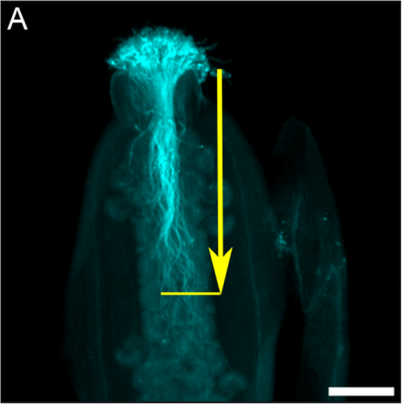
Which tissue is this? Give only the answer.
pistils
